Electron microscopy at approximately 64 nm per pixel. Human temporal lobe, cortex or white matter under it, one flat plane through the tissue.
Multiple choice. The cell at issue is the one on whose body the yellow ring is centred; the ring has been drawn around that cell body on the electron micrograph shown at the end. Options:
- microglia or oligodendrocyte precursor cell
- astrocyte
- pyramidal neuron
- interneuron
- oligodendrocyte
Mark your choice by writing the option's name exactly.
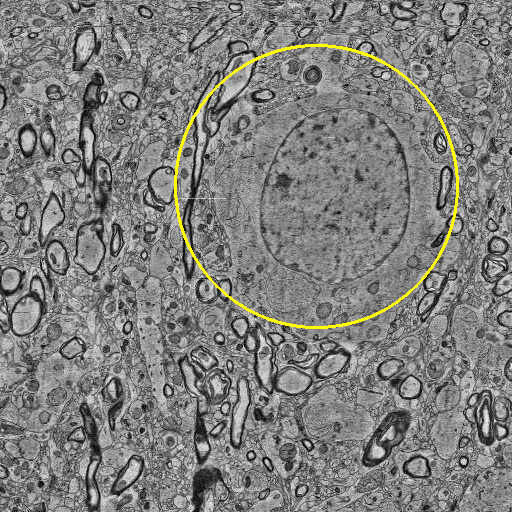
astrocyte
